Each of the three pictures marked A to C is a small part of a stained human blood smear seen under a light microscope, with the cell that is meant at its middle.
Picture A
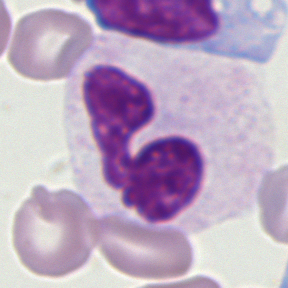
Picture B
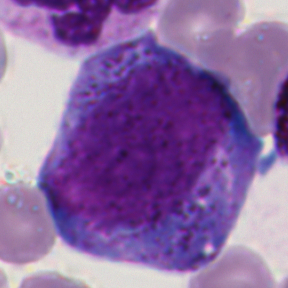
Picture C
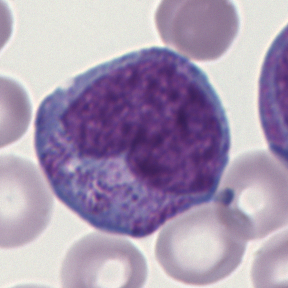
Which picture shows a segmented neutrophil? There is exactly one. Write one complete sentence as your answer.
The cell in picture A is the segmented neutrophil.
